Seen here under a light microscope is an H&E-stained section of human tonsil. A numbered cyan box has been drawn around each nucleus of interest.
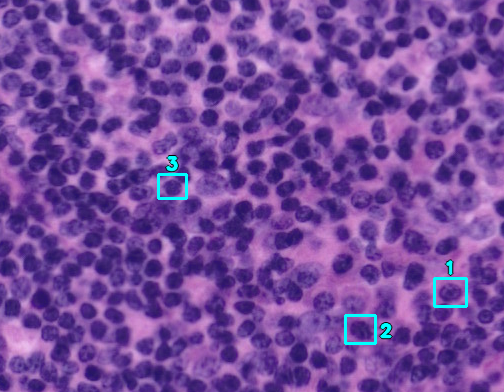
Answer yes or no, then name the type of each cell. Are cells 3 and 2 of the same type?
No, cell 3 is a small lymphocyte and cell 2 is a plasma cell.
